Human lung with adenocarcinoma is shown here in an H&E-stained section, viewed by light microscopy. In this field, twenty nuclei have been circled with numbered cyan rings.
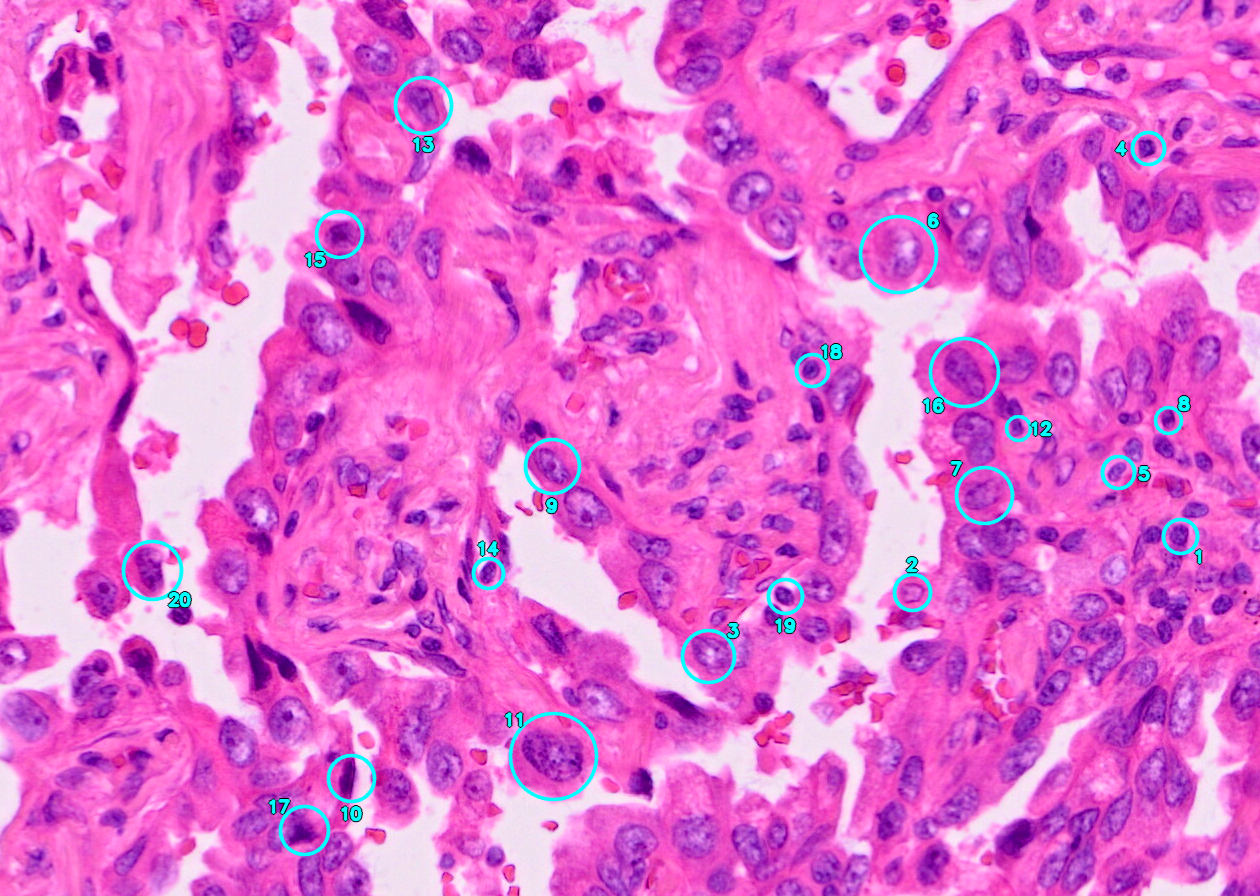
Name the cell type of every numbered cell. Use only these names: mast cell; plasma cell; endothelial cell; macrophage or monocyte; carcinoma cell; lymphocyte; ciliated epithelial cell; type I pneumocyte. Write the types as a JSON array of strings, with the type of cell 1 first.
["lymphocyte", "macrophage or monocyte", "carcinoma cell", "lymphocyte", "lymphocyte", "carcinoma cell", "carcinoma cell", "lymphocyte", "carcinoma cell", "carcinoma cell", "carcinoma cell", "lymphocyte", "carcinoma cell", "lymphocyte", "carcinoma cell", "carcinoma cell", "carcinoma cell", "lymphocyte", "lymphocyte", "carcinoma cell"]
